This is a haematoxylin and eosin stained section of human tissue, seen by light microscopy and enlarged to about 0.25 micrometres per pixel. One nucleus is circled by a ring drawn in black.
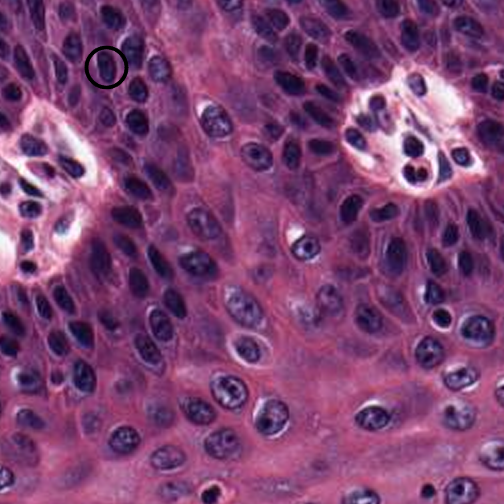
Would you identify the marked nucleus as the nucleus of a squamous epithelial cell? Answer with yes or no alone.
yes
